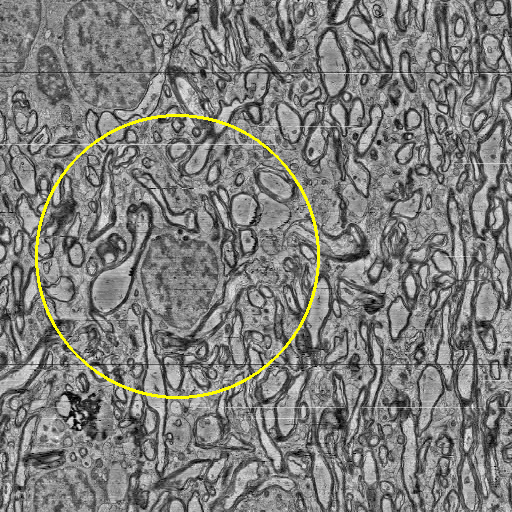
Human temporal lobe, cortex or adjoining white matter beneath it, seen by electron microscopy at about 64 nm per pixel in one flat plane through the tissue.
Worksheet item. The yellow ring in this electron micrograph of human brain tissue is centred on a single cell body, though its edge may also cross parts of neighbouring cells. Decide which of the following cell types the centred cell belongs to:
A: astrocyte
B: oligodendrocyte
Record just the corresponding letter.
B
